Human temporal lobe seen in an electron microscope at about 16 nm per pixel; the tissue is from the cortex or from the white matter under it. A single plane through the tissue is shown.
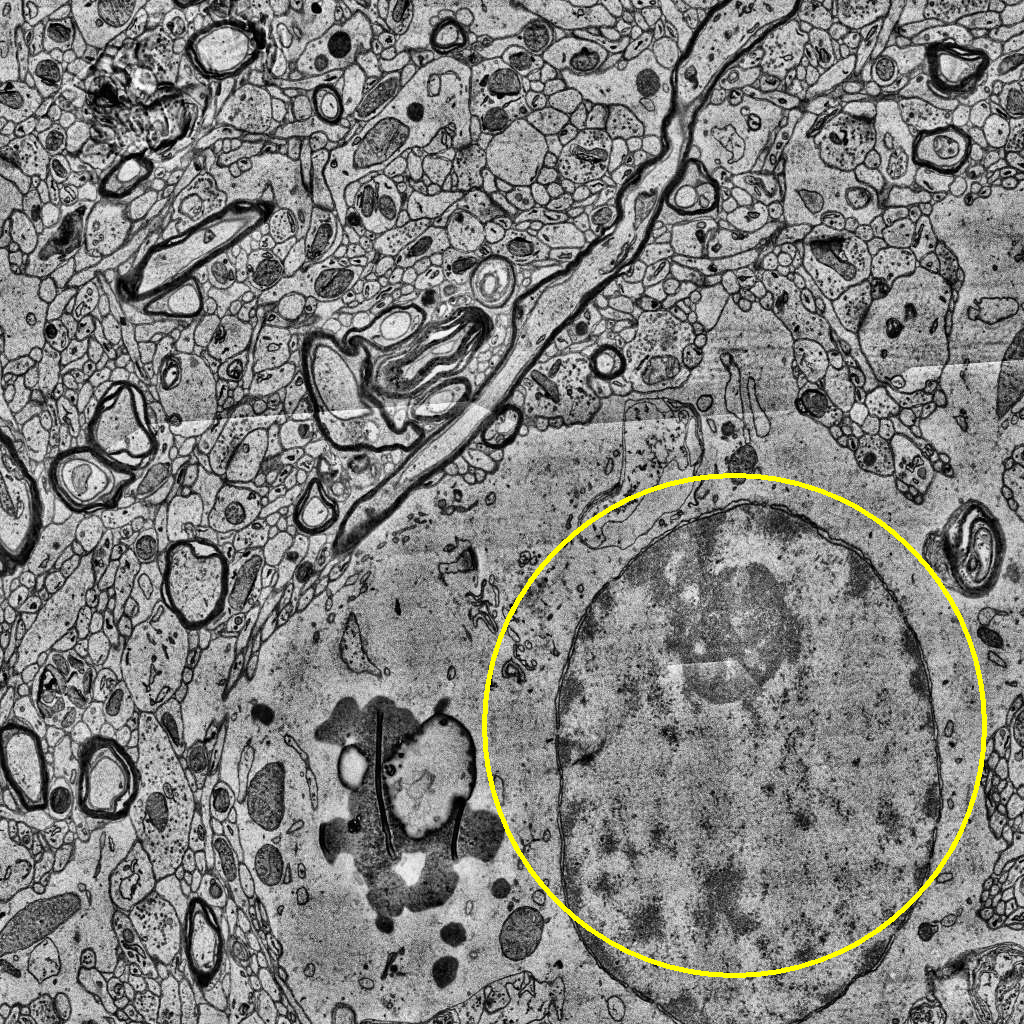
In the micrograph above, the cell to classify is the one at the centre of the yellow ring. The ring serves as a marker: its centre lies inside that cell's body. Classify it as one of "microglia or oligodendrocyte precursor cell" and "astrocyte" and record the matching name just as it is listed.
astrocyte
